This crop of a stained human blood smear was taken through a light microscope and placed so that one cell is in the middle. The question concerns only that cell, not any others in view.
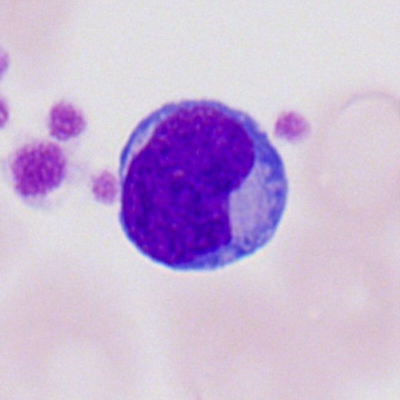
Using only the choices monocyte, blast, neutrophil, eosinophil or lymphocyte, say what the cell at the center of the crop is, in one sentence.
The cell in the middle of the field of view is a lymphocyte.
